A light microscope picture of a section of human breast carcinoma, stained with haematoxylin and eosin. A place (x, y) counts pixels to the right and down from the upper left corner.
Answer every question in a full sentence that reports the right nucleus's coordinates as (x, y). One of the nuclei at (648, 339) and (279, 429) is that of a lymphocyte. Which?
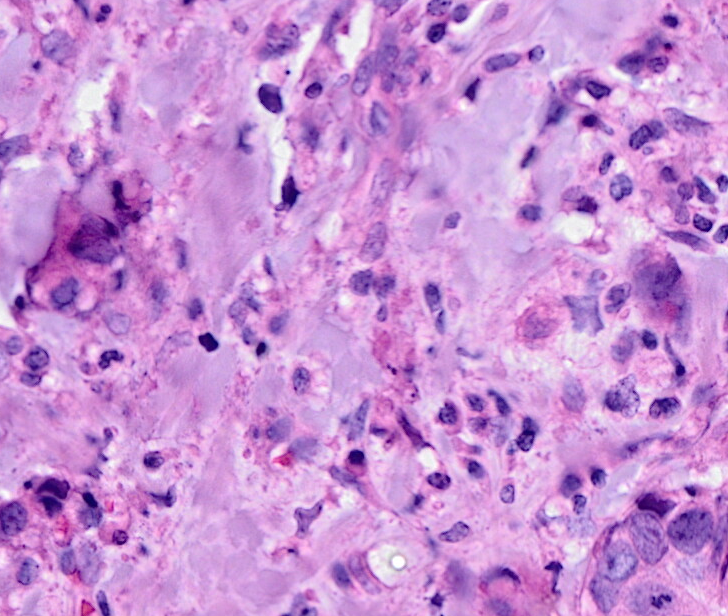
Of these two nuclei, it is the one at (648, 339) that belongs to a lymphocyte.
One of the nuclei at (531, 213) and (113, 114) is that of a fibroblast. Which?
The nucleus at position (113, 114) belongs to a fibroblast.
